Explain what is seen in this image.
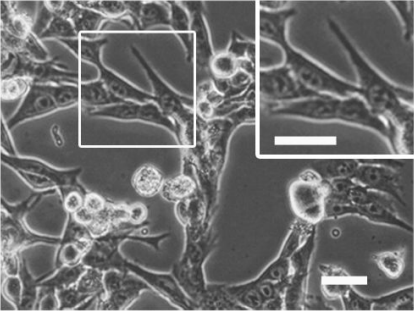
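Cultured cells seen by phase contrast, many elongated and spindle-shaped with a mesenchymal-like look. The flat cells have oval nuclei and extend long, thin, tapering processes that reach out across the dish and touch neighbouring cells. They form a loose network with wide open spaces of empty substrate between groups of cells. Scattered among them are rounded, bright-haloed cells that lie above the flat cell layer. The inset enlarges a few spindle-shaped cells with slender extensions.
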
